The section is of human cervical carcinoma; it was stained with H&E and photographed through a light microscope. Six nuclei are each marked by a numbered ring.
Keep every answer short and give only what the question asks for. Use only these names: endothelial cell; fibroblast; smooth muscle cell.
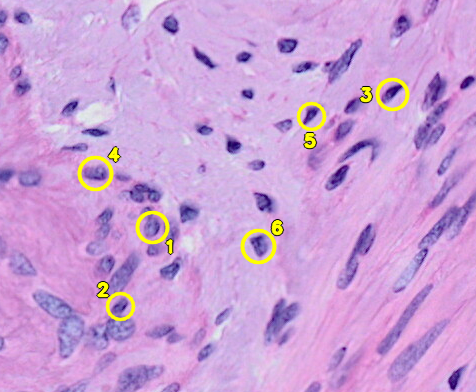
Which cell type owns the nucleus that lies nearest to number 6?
fibroblast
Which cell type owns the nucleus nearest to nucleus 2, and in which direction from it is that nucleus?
a smooth muscle cell, below nucleus 2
